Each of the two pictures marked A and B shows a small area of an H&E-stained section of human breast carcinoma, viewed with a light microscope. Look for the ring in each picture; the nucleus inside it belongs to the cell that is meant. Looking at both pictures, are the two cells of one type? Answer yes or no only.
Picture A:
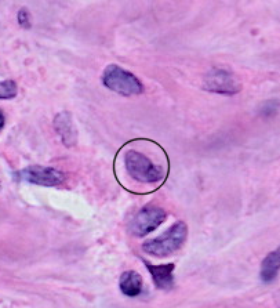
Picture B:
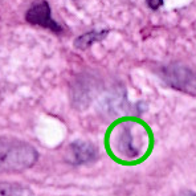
yes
